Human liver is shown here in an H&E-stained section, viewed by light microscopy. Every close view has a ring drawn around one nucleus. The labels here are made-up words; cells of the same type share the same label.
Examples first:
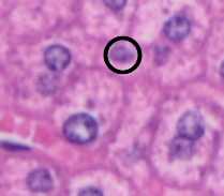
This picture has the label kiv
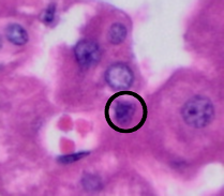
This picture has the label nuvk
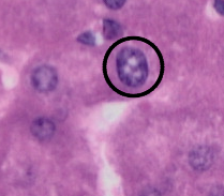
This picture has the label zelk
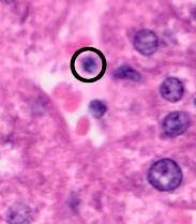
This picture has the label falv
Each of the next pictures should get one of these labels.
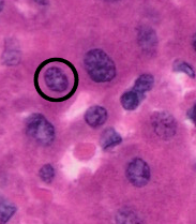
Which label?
zelk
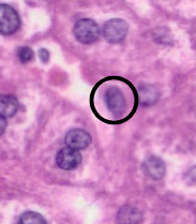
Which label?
kiv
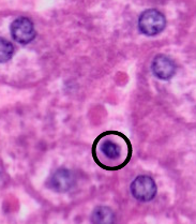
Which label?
falv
